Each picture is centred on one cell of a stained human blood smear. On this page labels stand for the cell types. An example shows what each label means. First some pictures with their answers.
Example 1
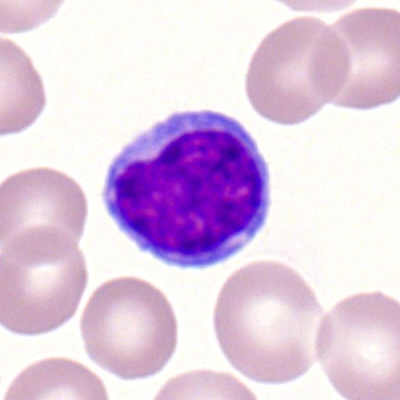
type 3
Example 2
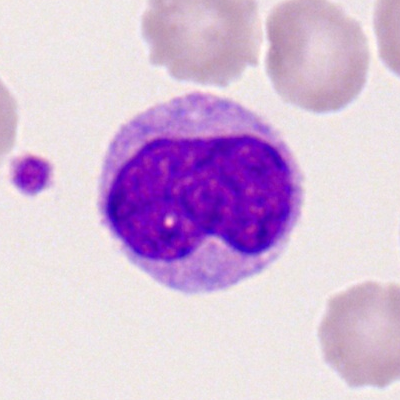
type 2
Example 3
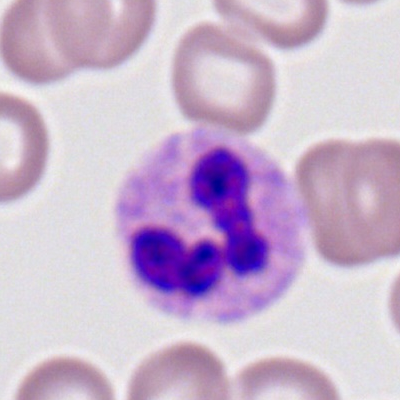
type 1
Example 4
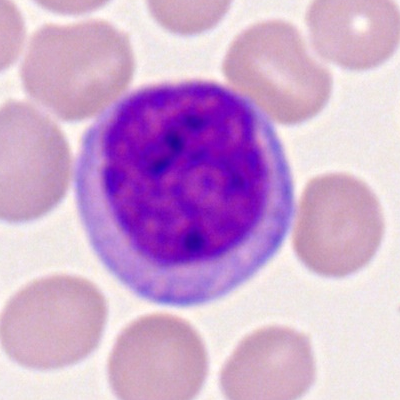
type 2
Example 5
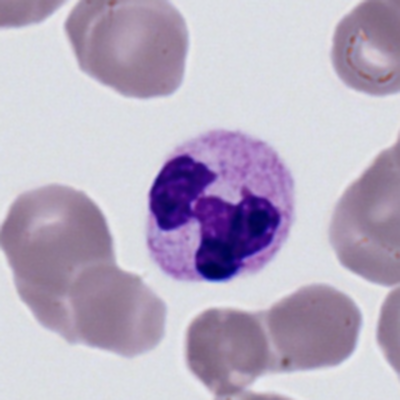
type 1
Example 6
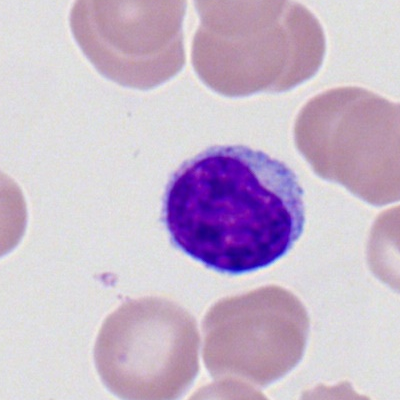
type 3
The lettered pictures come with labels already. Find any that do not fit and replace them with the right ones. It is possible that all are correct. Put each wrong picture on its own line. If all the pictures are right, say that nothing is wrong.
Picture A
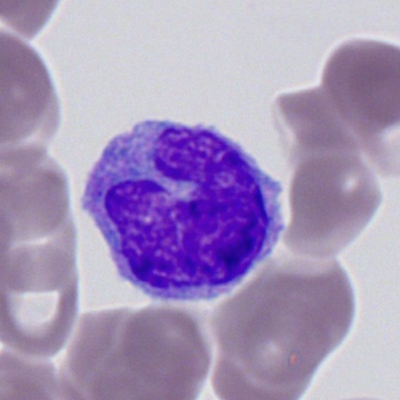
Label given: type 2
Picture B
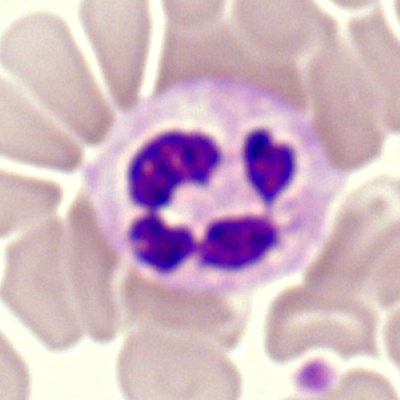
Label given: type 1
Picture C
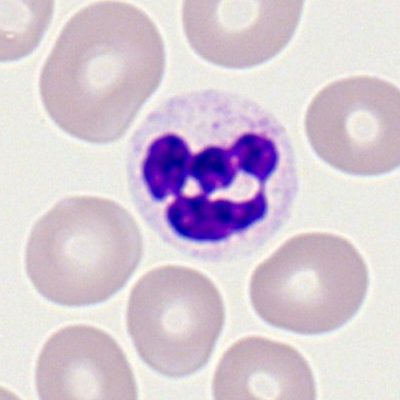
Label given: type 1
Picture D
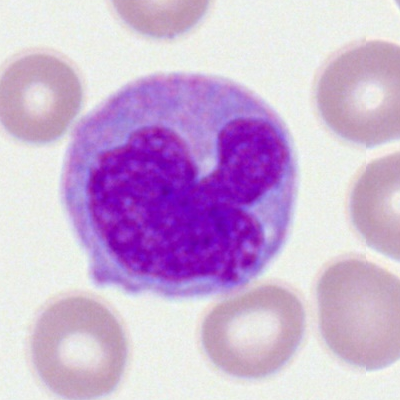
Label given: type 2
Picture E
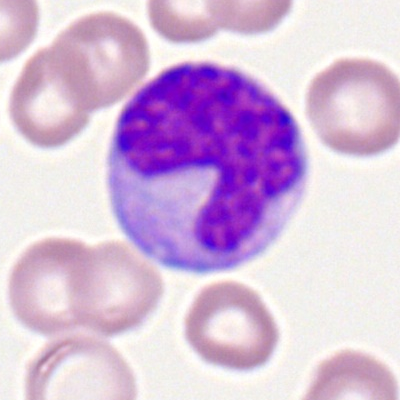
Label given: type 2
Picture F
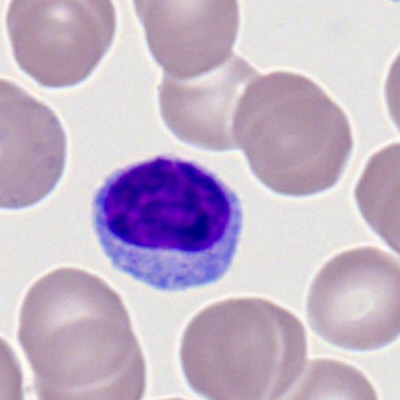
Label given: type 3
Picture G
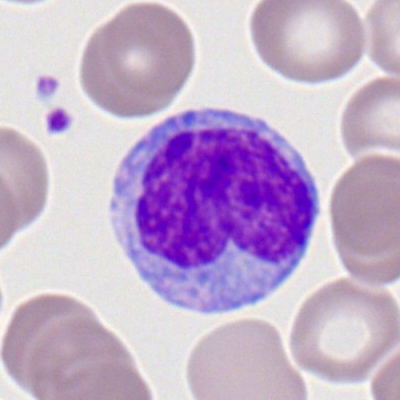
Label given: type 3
G: change type 3 to type 2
